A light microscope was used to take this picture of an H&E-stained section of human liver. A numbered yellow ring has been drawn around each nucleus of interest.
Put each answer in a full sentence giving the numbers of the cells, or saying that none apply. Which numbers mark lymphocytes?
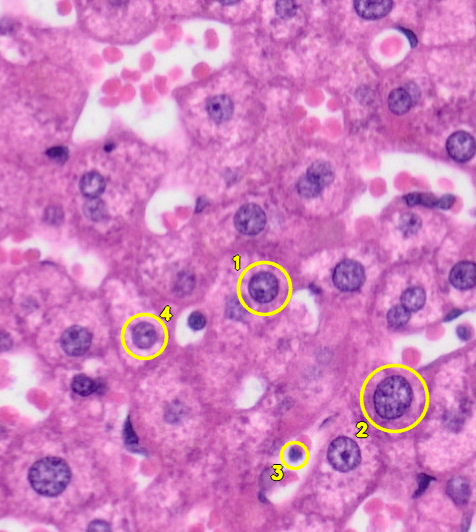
With the exception of cell 3, no marked cell is a lymphocyte.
